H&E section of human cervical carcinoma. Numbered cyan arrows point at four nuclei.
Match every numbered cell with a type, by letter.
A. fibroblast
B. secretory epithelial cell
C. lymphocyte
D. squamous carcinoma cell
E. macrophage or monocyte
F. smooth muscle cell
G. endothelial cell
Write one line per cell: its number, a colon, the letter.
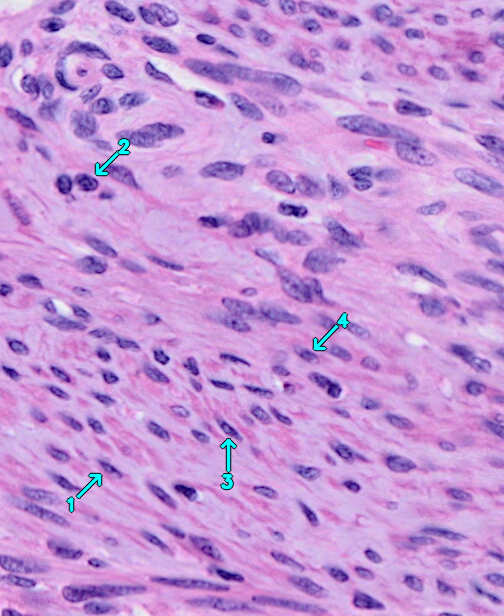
1: F
2: C
3: F
4: F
